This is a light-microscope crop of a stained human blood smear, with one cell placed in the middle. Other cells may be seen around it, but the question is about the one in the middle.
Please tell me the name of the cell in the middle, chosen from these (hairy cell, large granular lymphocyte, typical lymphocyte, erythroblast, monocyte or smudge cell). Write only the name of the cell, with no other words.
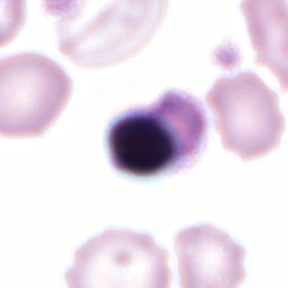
erythroblast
